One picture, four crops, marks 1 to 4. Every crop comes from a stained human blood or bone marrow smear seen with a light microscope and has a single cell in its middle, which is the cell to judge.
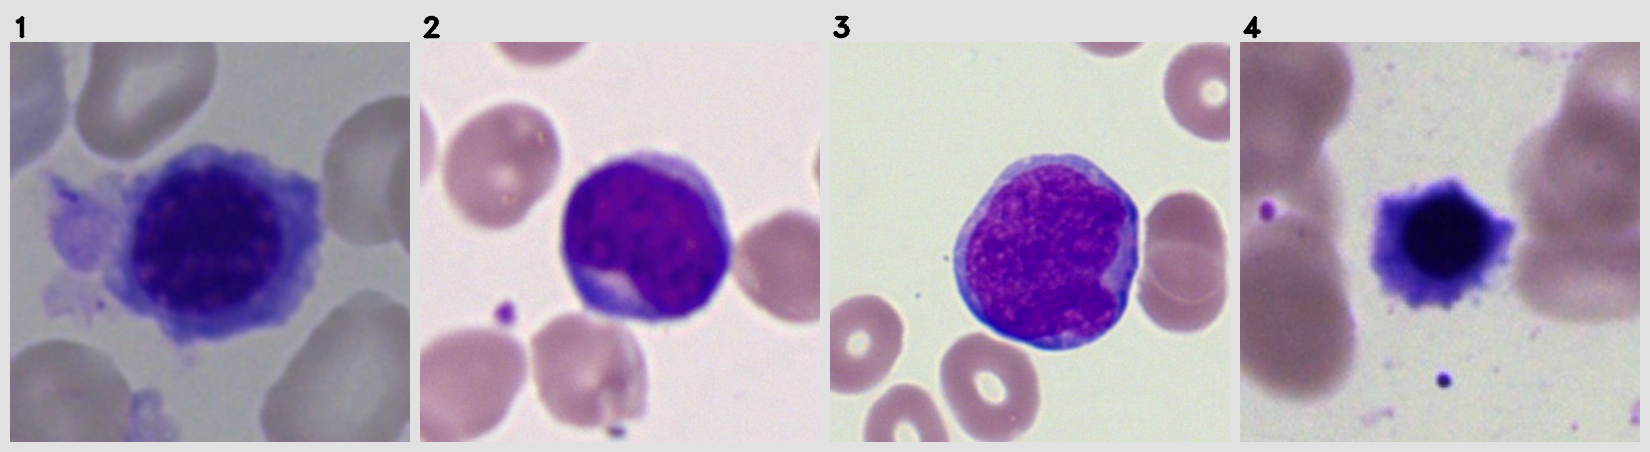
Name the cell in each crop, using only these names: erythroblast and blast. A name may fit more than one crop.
1: erythroblast
2: blast
3: blast
4: erythroblast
